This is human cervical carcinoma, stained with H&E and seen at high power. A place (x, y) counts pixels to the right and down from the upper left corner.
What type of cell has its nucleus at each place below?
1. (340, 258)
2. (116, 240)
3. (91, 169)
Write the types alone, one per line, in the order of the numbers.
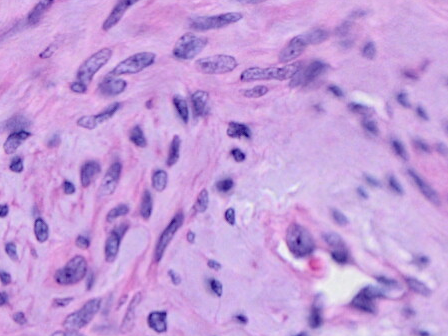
endothelial cell
smooth muscle cell
smooth muscle cell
